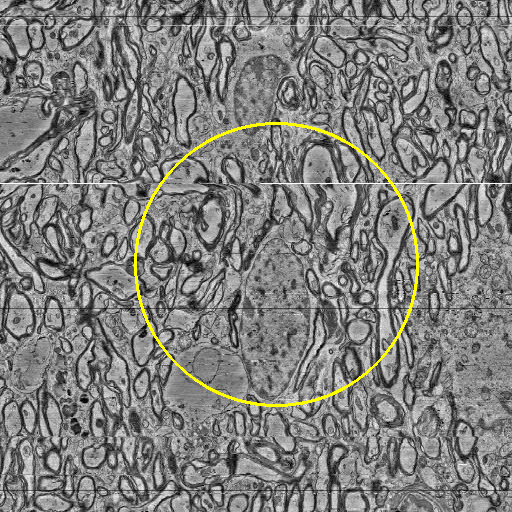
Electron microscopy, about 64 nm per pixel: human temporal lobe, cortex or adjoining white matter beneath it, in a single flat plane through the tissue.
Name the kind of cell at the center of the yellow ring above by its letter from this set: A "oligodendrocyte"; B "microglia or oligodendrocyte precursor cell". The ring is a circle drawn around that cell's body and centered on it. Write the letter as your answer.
B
